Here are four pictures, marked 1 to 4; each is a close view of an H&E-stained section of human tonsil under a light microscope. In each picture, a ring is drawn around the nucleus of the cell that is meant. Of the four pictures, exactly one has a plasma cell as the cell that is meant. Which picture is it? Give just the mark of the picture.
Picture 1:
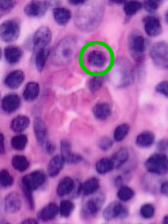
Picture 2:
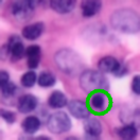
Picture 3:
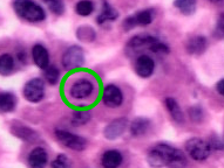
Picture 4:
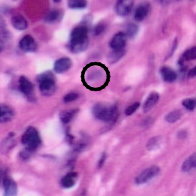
3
